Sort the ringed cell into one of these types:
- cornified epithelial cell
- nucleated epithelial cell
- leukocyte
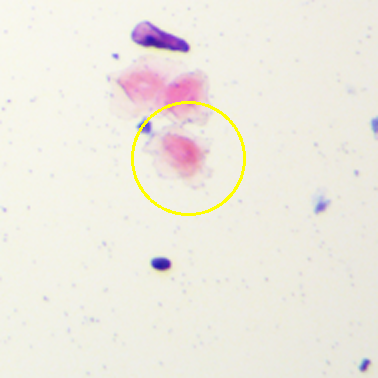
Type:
nucleated epithelial cell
